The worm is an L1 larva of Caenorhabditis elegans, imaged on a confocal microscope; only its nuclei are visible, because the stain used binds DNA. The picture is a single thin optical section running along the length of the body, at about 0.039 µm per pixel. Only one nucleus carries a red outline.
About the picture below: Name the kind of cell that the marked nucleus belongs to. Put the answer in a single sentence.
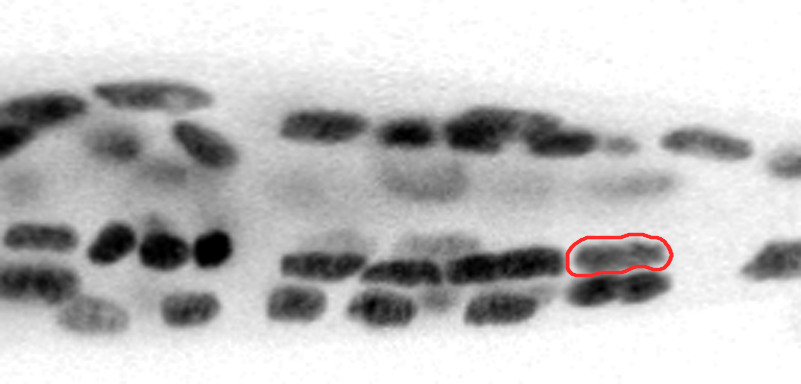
It belongs to a pharyngeal epithelial cell.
